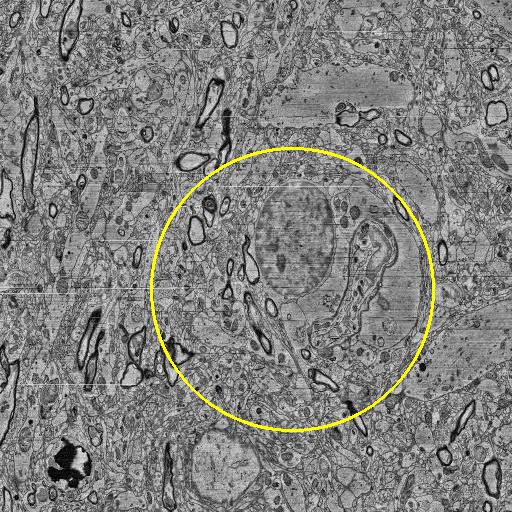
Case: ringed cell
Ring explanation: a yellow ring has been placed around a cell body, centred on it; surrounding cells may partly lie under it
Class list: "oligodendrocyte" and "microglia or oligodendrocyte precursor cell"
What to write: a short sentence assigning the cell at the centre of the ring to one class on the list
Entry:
The cell at the ring's centre is an oligodendrocyte.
